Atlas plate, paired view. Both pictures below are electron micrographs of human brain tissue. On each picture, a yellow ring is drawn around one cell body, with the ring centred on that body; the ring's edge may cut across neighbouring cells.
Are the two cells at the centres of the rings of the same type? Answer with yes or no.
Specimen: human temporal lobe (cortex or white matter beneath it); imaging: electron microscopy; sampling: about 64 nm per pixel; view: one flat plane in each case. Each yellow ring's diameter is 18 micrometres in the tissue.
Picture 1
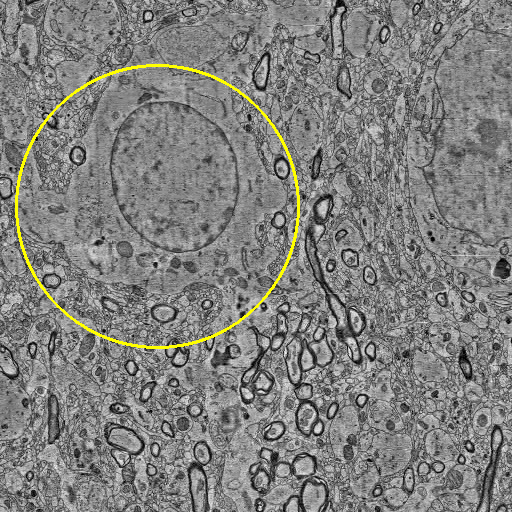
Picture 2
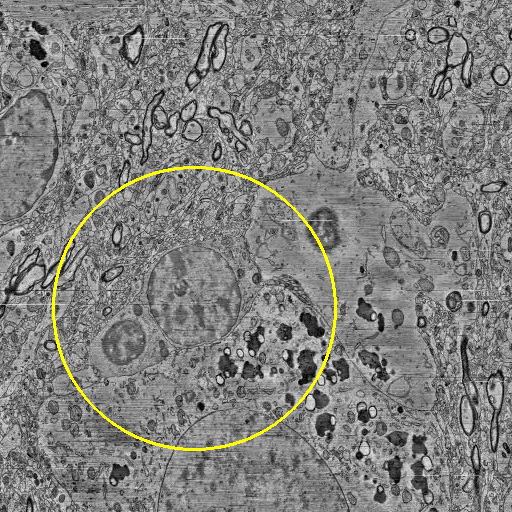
no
